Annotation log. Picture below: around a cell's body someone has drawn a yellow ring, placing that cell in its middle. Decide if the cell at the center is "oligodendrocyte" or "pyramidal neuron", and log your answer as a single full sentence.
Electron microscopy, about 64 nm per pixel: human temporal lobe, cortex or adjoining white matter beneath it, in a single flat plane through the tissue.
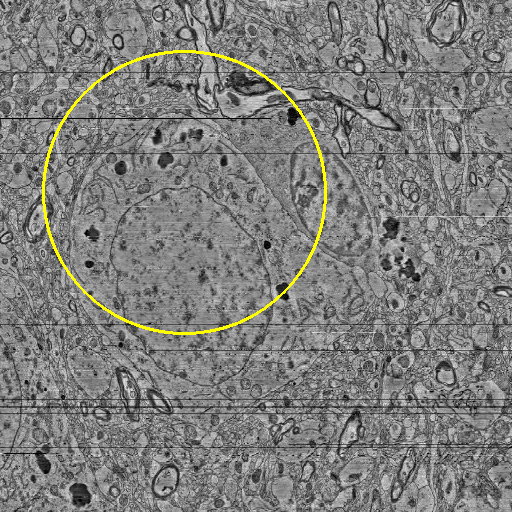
My entry records a pyramidal neuron as the cell sitting at the center of the yellow ring.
